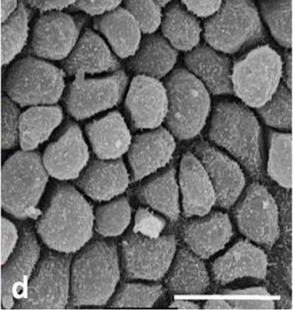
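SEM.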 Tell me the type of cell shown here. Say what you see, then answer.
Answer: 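Rounded superficial cells. The surface is covered with closely packed dome-shaped cells. Each cell bulges outward with a convex, finely textured surface. Narrow clefts separate neighbouring cells.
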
